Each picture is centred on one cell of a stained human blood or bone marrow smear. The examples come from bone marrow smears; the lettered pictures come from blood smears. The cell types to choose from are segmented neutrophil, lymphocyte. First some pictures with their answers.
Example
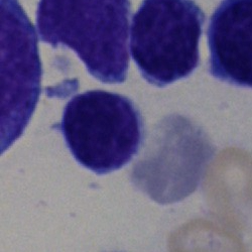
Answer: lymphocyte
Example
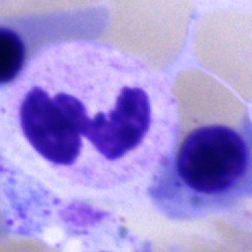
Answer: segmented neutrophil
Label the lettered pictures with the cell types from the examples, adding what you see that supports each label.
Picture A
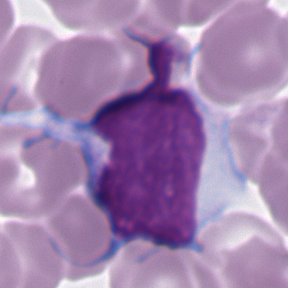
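Answer: lymphocyte. The nucleus fills most of the cell.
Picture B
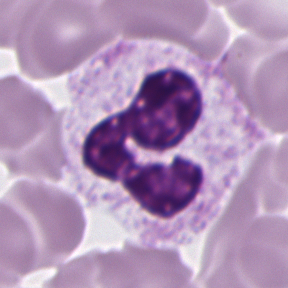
Answer: segmented neutrophil. The cytoplasm is abundant and pale pinkish-lilac.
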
